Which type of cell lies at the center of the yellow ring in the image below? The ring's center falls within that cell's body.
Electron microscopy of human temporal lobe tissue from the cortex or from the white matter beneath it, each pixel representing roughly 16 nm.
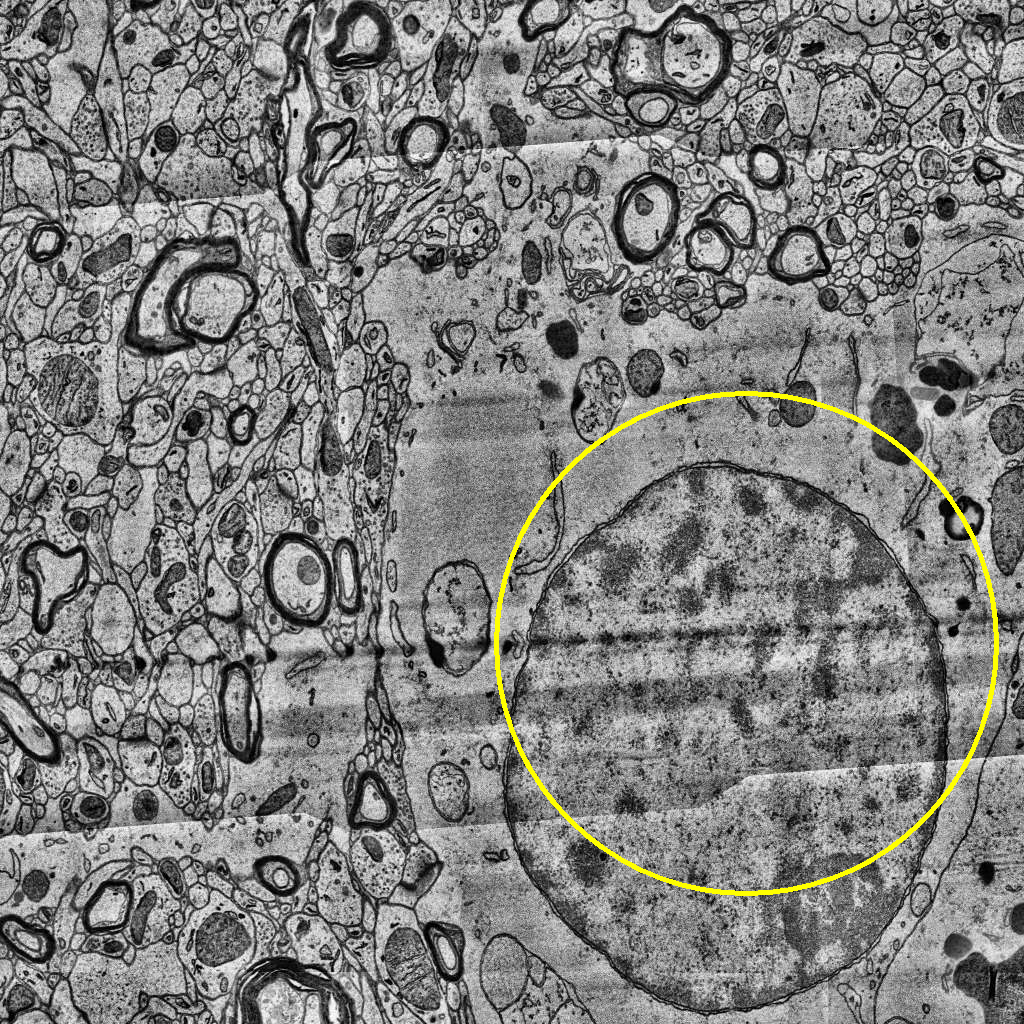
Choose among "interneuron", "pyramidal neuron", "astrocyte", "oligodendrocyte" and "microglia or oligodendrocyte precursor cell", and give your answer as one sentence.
The cell body at the center belongs to an astrocyte.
